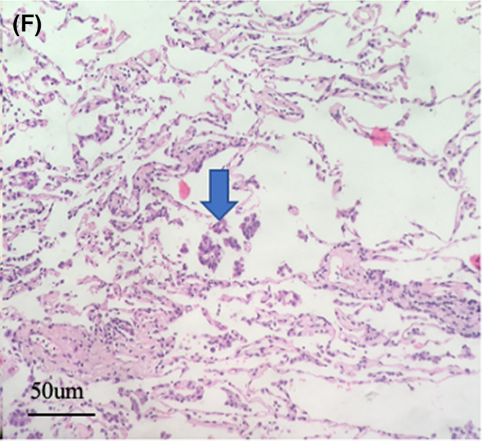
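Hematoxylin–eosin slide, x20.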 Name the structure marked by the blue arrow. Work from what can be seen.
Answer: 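A small lobulated cluster of dark purple cells lies at the arrow tip. It sits free within an air space bounded by thin septa.
Conclusion: Papillary clusters of tumor cells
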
